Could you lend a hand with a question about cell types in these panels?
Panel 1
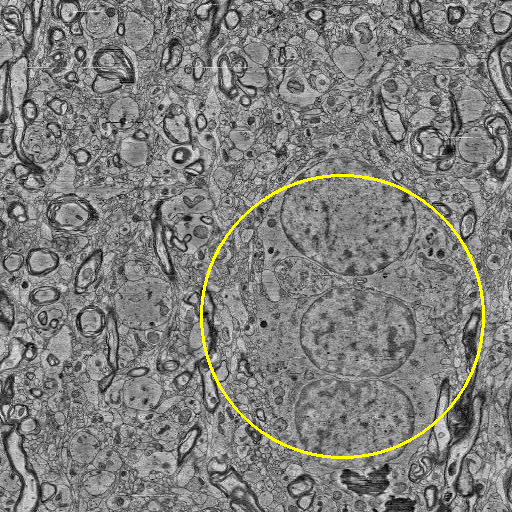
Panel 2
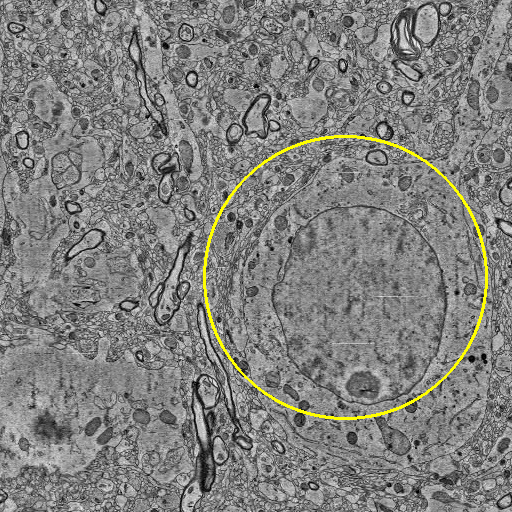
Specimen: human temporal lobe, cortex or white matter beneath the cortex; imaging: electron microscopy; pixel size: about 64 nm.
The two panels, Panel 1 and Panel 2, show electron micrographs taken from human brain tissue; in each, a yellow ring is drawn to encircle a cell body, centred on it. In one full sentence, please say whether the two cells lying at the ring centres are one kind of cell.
No, the cells at the ring centres in the two panels are two kinds of cell.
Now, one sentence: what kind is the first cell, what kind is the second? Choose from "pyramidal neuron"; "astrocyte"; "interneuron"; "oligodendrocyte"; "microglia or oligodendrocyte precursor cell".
The first picture has an oligodendrocyte at its ring centre, and the second has a pyramidal neuron.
